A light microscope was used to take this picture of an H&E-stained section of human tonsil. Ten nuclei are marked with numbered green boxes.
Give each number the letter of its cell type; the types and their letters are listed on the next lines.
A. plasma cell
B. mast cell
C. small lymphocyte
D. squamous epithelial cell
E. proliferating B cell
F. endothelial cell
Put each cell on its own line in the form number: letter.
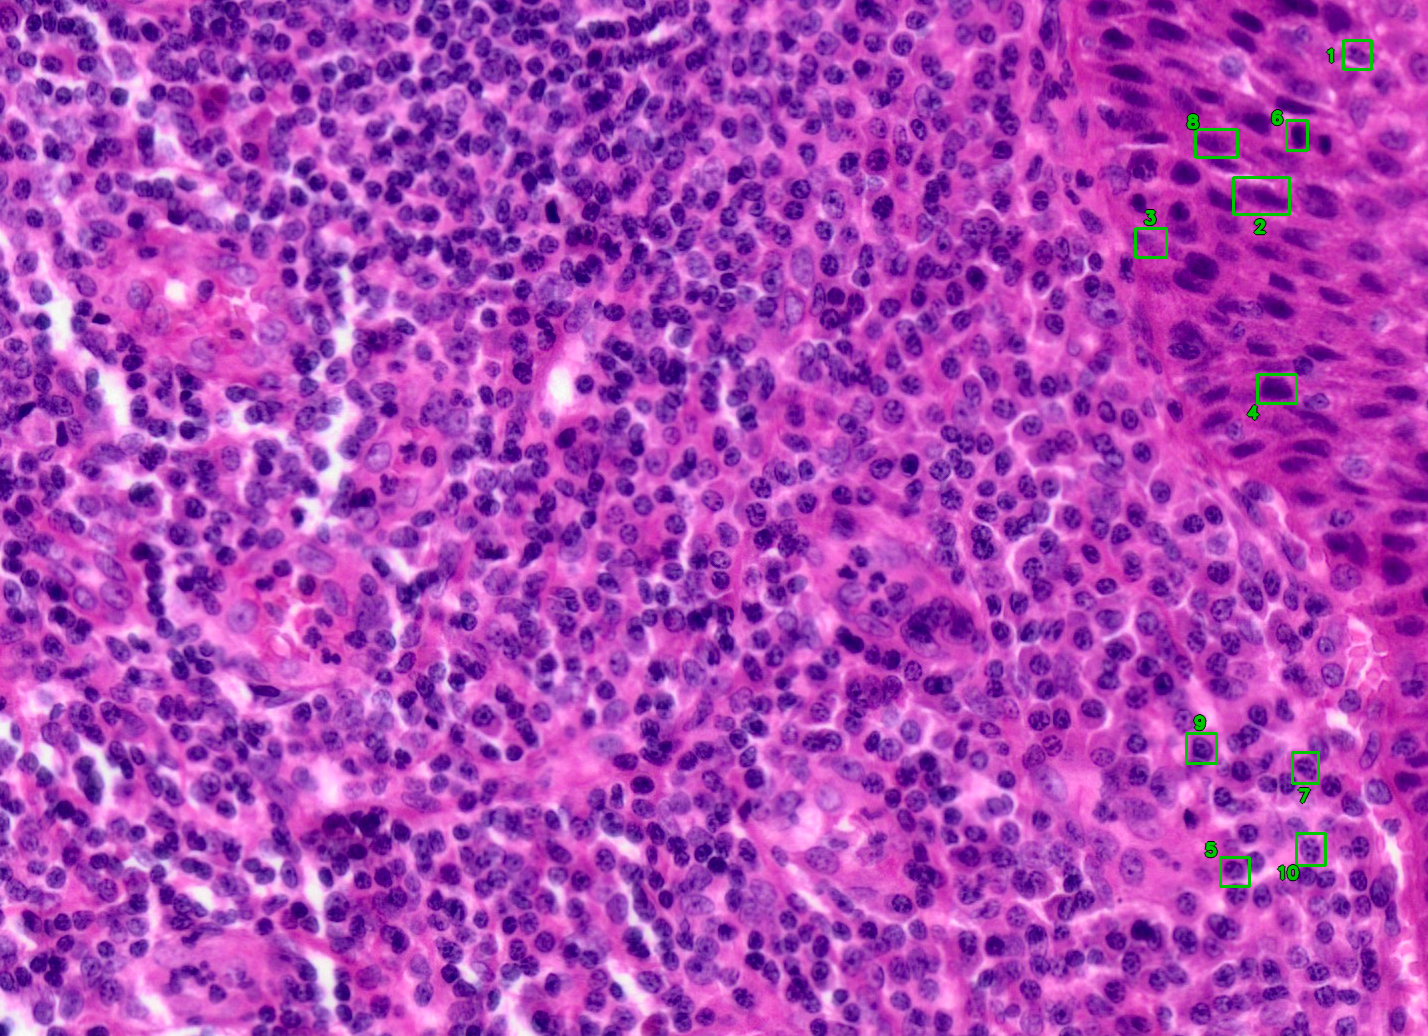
1: D
2: D
3: D
4: D
5: A
6: D
7: A
8: D
9: A
10: A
